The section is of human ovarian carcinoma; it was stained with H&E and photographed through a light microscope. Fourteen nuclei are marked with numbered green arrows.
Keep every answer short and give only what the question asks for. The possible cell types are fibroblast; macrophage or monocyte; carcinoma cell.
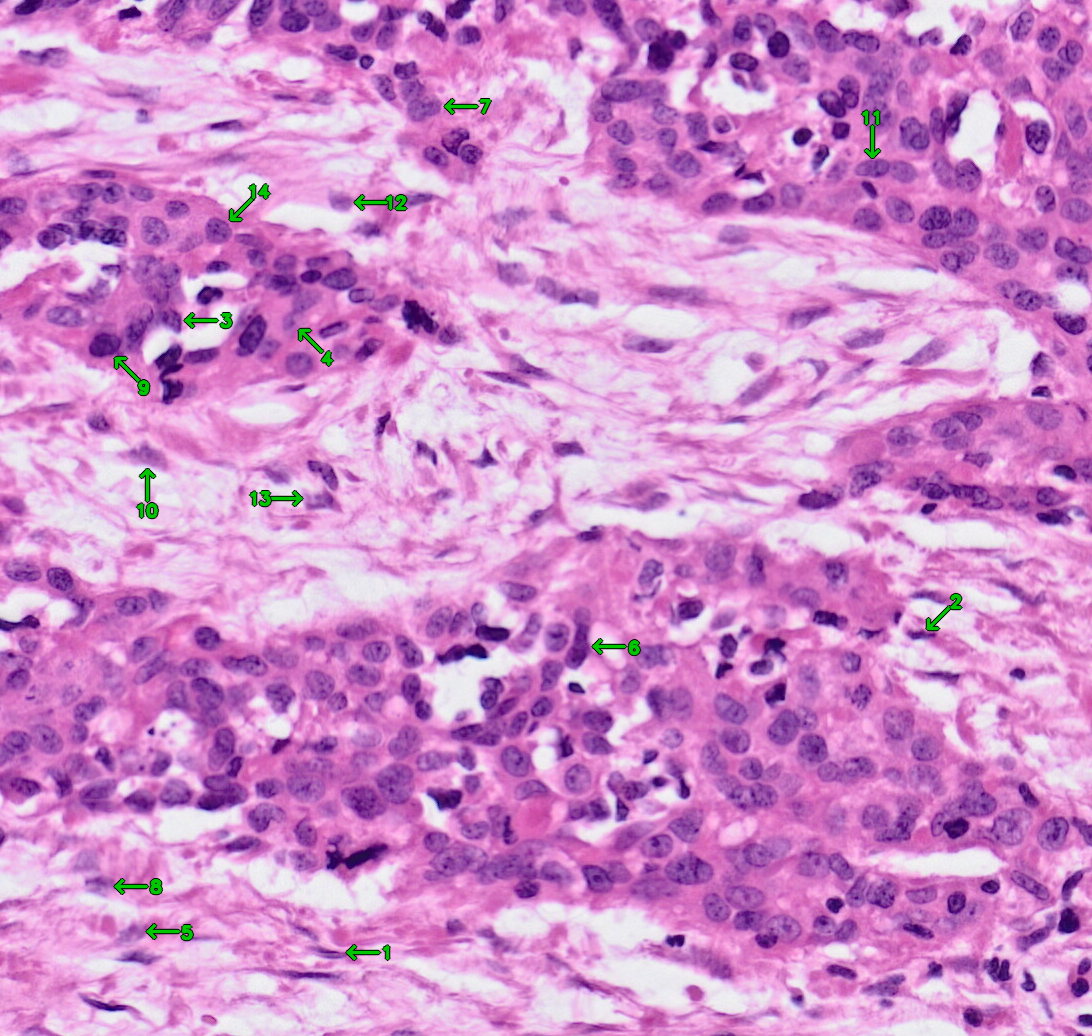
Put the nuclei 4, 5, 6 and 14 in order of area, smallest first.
4, 5, 14, 6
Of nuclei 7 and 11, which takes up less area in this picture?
7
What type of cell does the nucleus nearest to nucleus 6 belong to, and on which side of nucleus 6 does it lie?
a macrophage or monocyte; above and to the left of nucleus 6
